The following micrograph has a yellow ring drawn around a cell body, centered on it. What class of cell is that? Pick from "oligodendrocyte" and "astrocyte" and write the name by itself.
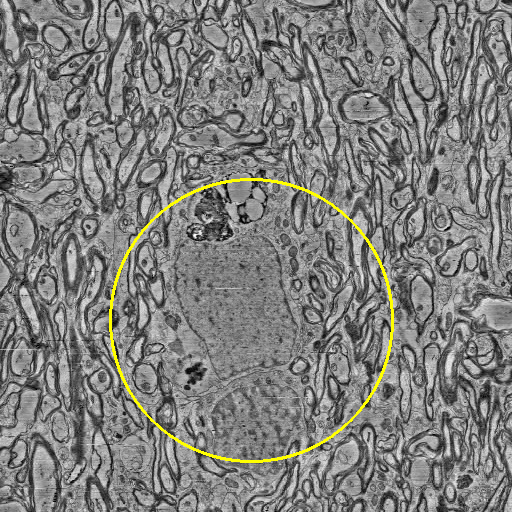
astrocyte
